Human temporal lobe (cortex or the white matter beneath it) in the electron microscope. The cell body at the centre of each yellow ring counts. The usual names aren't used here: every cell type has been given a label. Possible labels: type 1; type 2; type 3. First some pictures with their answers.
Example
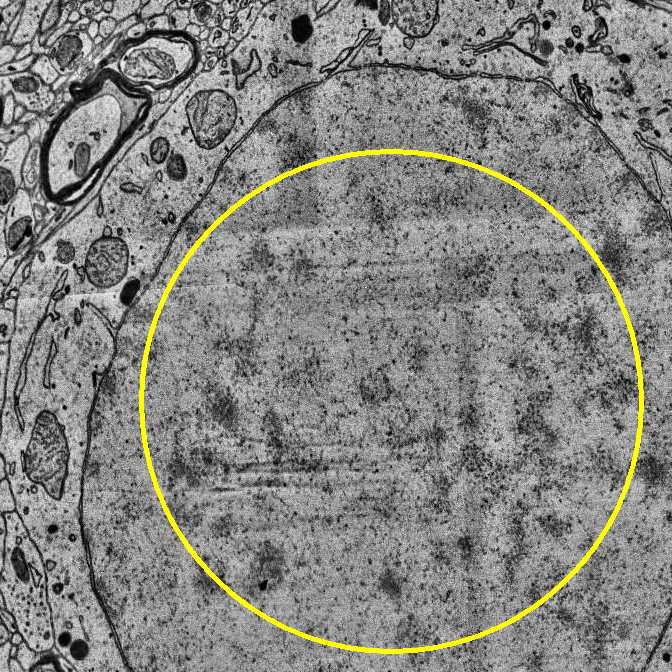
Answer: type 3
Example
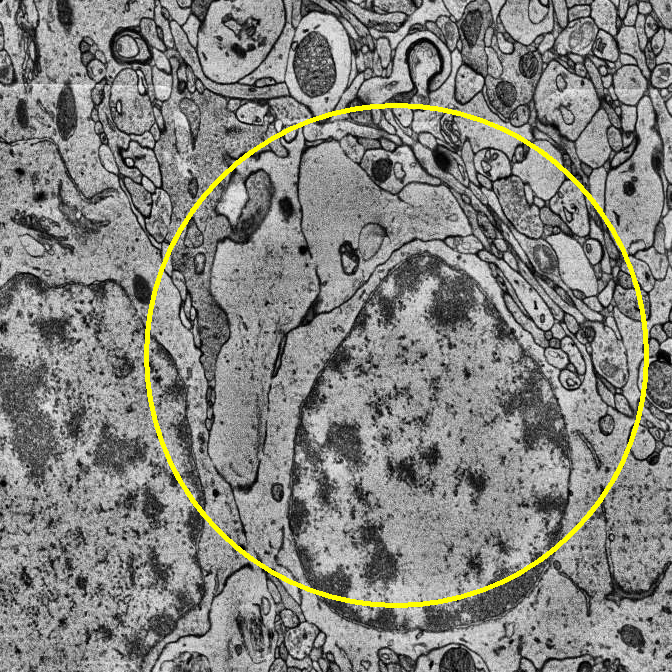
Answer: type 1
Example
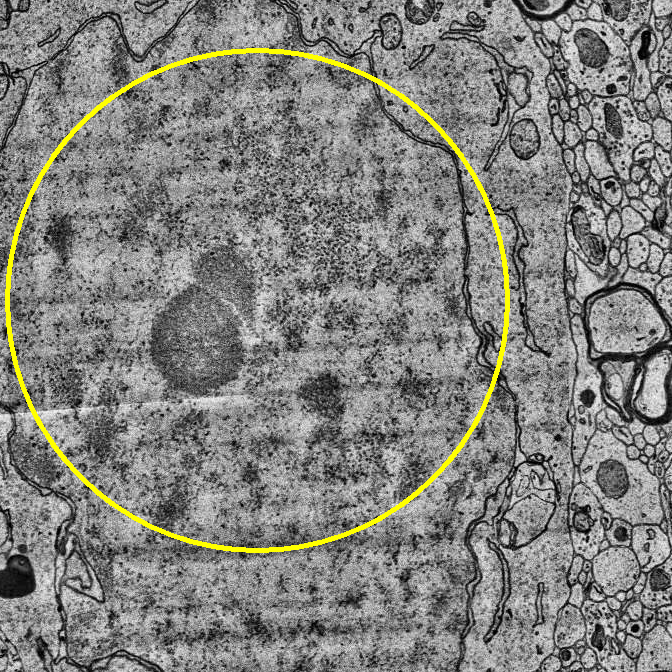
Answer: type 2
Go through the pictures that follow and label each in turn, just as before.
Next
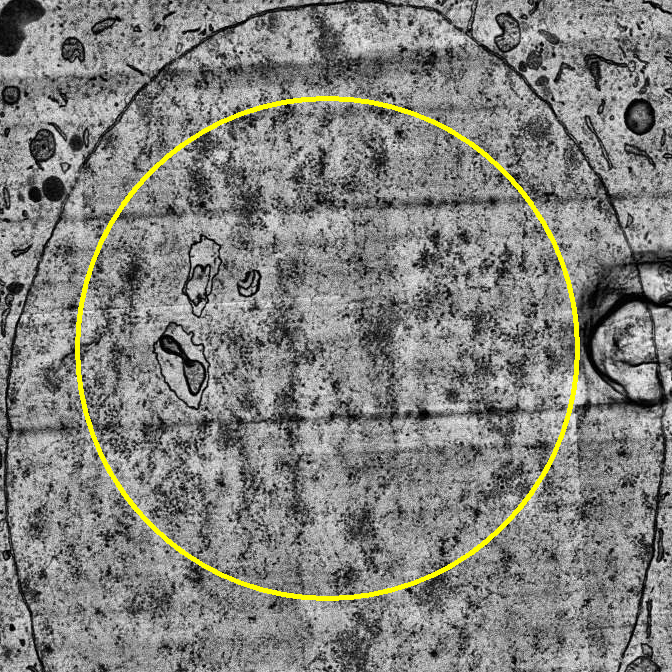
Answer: type 3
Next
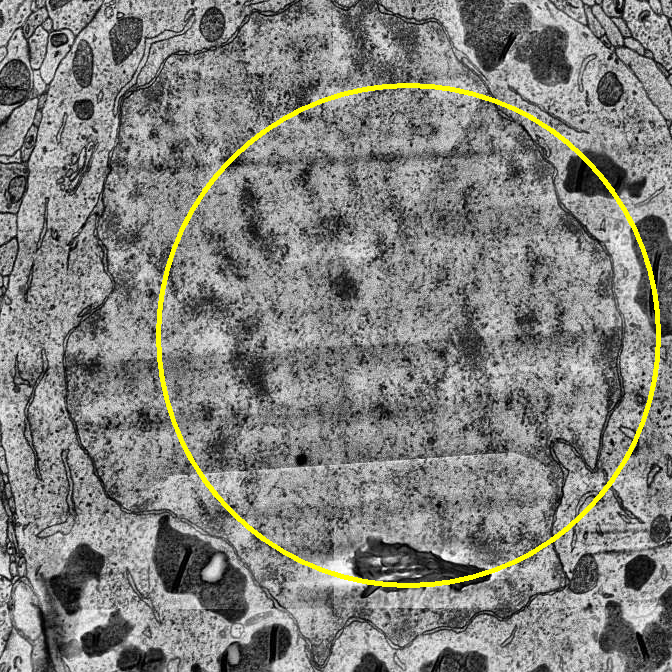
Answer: type 2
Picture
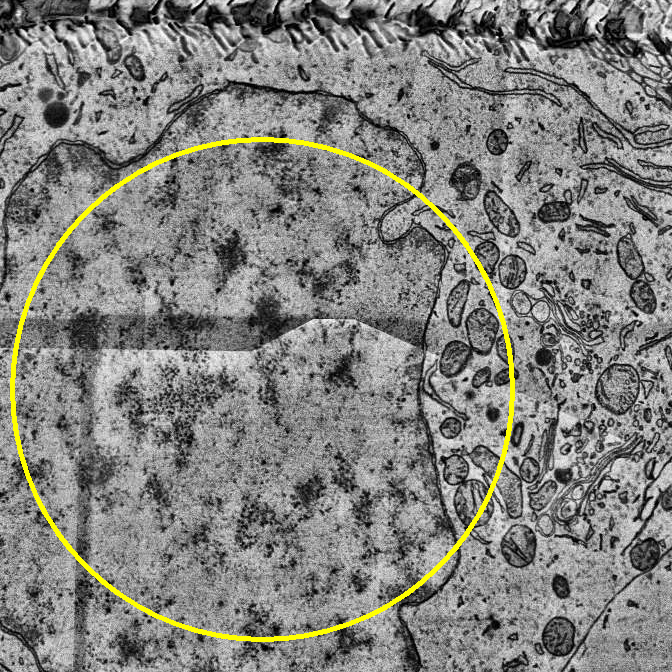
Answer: type 2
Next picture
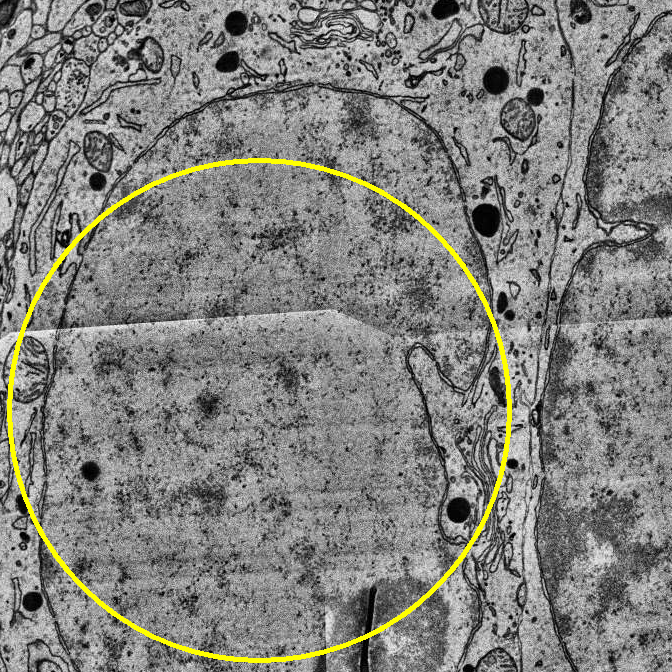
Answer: type 3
